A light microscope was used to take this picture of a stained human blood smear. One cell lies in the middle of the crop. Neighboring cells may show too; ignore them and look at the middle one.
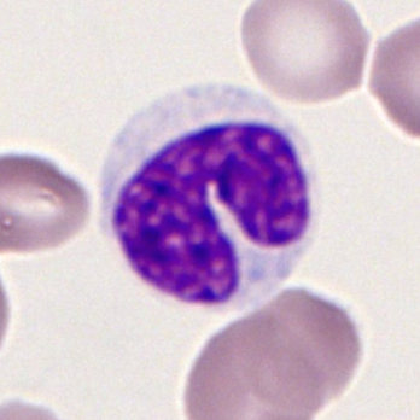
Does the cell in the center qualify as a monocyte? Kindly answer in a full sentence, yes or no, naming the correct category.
Yes, in the centre of this field sits a monocyte.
